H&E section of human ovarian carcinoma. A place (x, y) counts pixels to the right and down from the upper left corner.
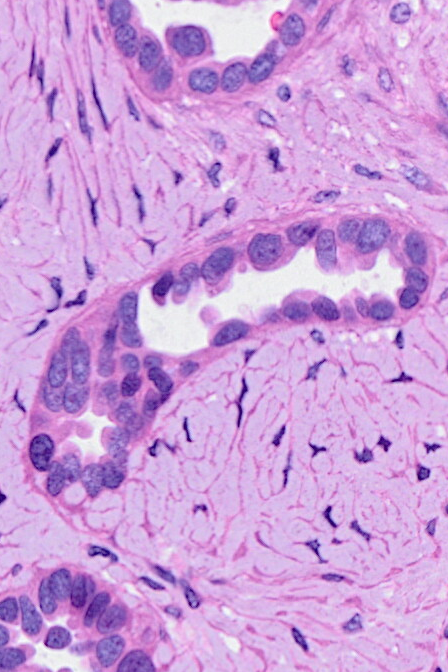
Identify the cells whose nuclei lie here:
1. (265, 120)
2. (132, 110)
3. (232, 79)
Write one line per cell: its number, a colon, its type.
1: fibroblast
2: fibroblast
3: carcinoma cell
